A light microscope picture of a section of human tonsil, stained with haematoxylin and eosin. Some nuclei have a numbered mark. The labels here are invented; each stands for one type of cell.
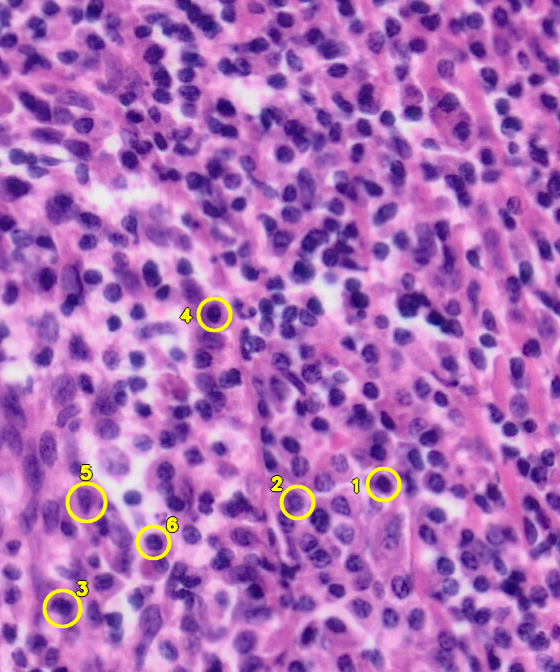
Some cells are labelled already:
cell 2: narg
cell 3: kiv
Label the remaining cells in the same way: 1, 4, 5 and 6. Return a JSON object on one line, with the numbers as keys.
{"1": "narg", "4": "narg", "5": "kiv", "6": "narg"}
